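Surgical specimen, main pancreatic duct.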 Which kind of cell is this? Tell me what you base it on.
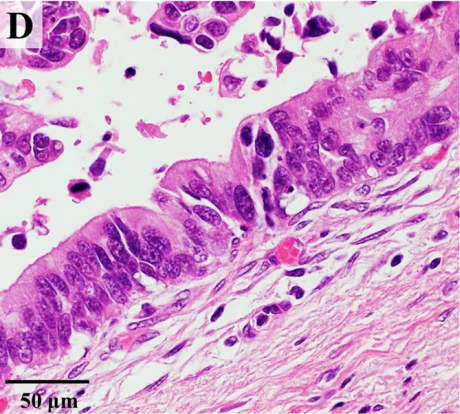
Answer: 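A columnar epithelium lines pink fibrous stroma. Nuclei are enlarged, hyperchromatic and stacked at different heights. Detached atypical cells lie in the lumen above.
Conclusion: High-grade atypical epithelial cells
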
